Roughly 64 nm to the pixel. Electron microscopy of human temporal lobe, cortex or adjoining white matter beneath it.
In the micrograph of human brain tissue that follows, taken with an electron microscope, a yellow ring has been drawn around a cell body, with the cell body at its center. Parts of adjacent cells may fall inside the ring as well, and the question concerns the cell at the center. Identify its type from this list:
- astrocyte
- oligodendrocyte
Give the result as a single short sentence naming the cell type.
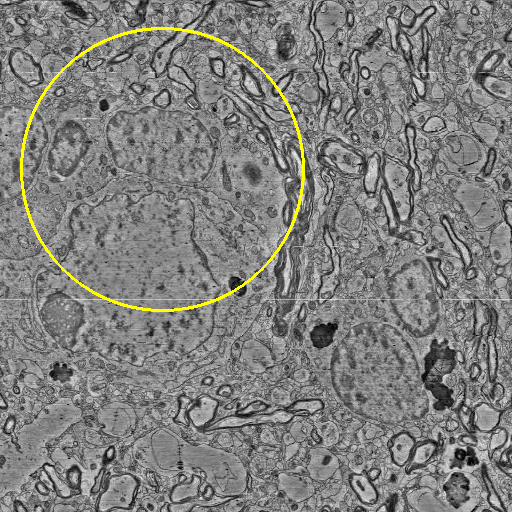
The ring is centered on an oligodendrocyte.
